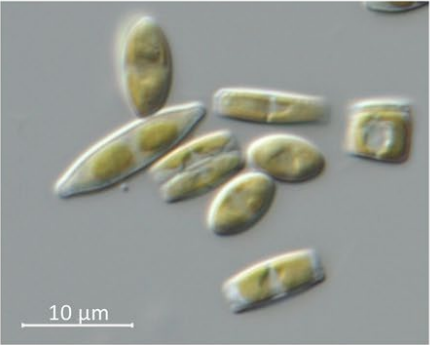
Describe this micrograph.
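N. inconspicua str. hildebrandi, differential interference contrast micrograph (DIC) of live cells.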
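Inside each cell golden-brown elongated bodies, the chloroplasts, fill much of the cell and lie along its length. A paler zone near the middle of many cells marks where the nucleus sits centrally, between the pigmented plates.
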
